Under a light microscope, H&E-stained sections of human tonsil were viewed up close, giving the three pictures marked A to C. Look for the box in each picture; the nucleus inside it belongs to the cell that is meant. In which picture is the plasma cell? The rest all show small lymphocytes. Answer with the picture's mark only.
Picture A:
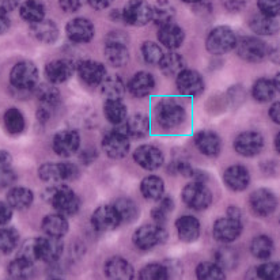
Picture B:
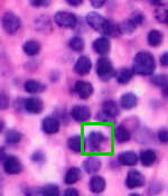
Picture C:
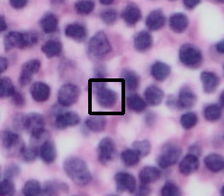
A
